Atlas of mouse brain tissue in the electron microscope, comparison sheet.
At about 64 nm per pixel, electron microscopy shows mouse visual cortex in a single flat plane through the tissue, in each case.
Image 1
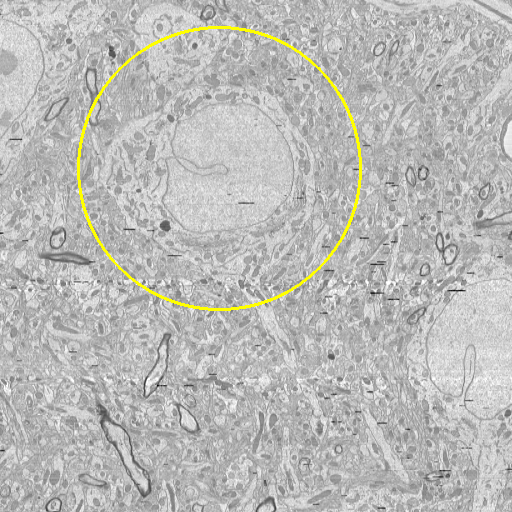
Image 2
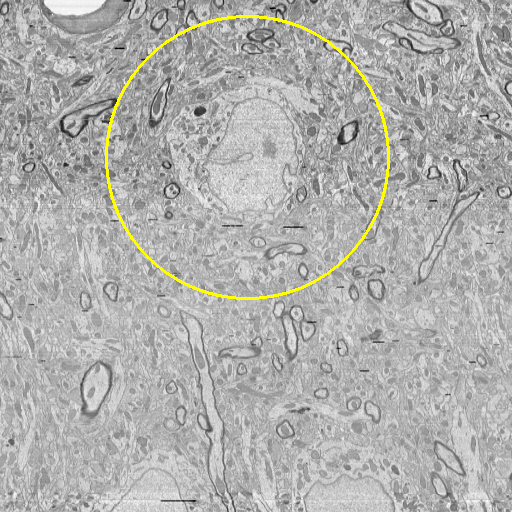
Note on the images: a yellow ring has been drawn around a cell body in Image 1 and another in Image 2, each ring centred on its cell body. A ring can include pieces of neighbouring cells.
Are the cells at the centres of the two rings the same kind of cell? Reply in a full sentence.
Yes, both cells are of the same kind.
